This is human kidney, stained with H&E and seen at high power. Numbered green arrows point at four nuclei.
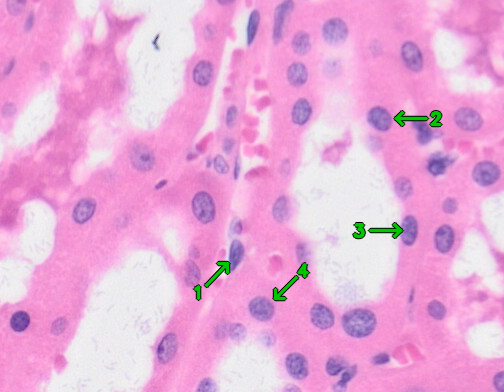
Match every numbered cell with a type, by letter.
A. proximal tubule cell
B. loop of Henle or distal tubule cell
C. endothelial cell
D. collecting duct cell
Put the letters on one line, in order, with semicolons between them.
C; B; B; B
